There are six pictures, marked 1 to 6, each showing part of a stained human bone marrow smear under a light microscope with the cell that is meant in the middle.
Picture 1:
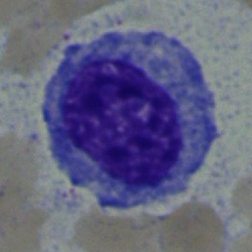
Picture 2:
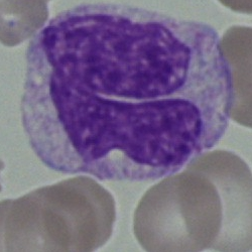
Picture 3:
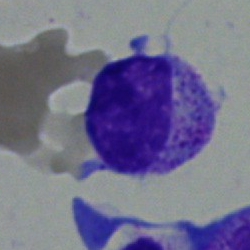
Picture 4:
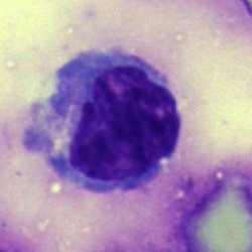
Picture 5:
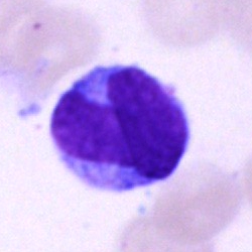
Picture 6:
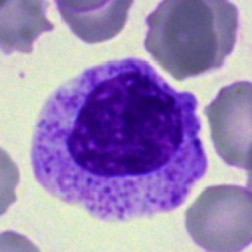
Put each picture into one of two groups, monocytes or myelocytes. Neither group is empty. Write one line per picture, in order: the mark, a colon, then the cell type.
1: myelocyte
2: monocyte
3: myelocyte
4: monocyte
5: monocyte
6: myelocyte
